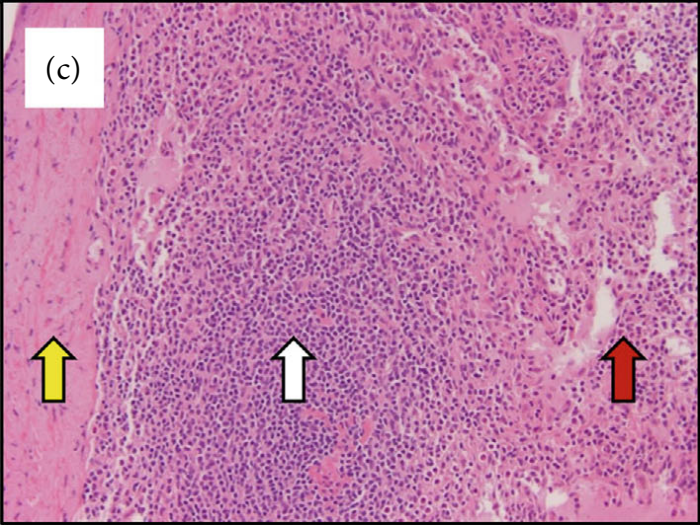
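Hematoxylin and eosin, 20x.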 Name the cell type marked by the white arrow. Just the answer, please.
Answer: Lymphocytes.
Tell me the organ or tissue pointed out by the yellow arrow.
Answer: fibrous capsule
